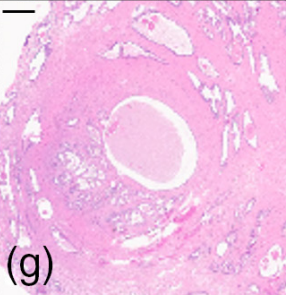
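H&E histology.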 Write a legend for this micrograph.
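This low-power view of prostate shows a nodule of benign prostatic hyperplasia, a rounded mass of pink fibromuscular stroma. At its centre lies a single large, round, dilated gland whose lumen holds pale pink material. Around the nodule lie scattered glands of varied size, several of them cystically dilated, set in pink stroma.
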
